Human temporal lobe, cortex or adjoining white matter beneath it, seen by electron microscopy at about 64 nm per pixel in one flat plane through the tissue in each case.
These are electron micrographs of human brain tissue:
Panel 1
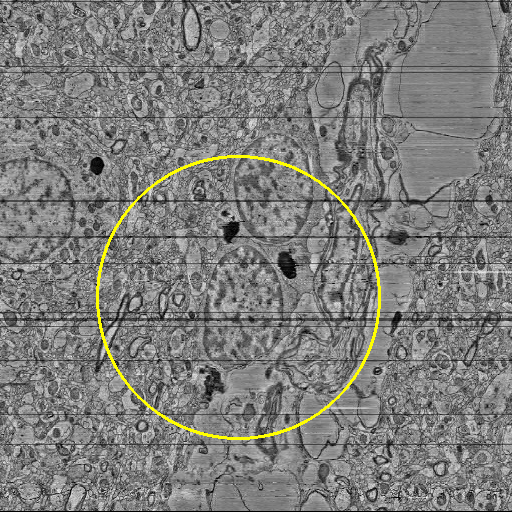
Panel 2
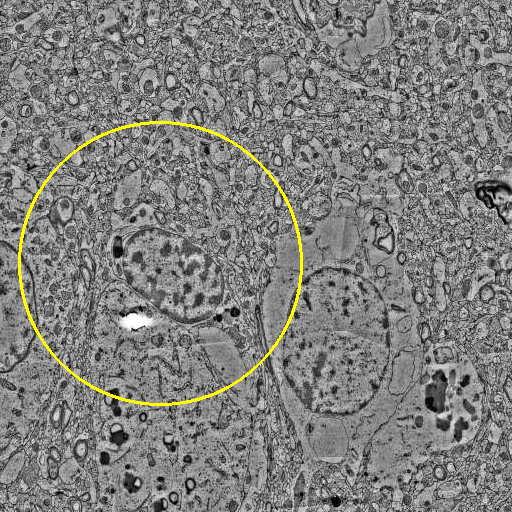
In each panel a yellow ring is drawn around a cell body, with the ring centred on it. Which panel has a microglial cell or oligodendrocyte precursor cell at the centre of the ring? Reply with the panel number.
2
